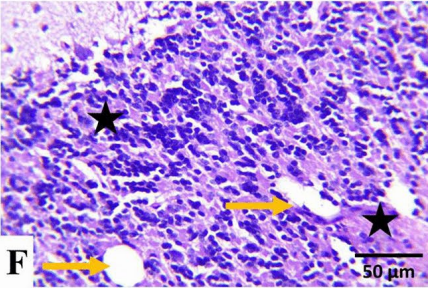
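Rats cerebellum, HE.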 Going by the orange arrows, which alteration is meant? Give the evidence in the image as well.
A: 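Hollow spaces. Clear empty round and elongated spaces within the granular layer.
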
